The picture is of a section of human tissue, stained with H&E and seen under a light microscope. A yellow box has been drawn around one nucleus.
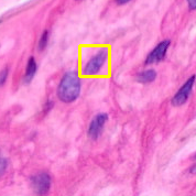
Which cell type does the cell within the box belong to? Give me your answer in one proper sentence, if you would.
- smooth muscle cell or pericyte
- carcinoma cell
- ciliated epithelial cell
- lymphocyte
As classified here, the cell within the box is a smooth muscle cell or pericyte.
